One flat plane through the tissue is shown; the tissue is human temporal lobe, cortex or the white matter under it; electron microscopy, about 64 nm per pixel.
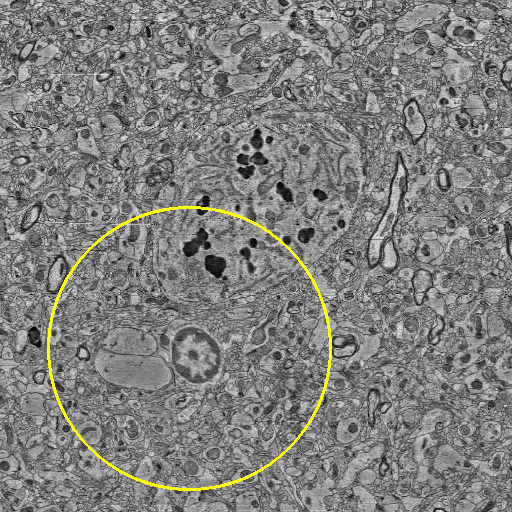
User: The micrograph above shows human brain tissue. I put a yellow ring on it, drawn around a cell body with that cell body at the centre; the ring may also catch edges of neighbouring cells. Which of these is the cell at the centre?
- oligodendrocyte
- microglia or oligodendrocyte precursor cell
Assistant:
microglia or oligodendrocyte precursor cell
